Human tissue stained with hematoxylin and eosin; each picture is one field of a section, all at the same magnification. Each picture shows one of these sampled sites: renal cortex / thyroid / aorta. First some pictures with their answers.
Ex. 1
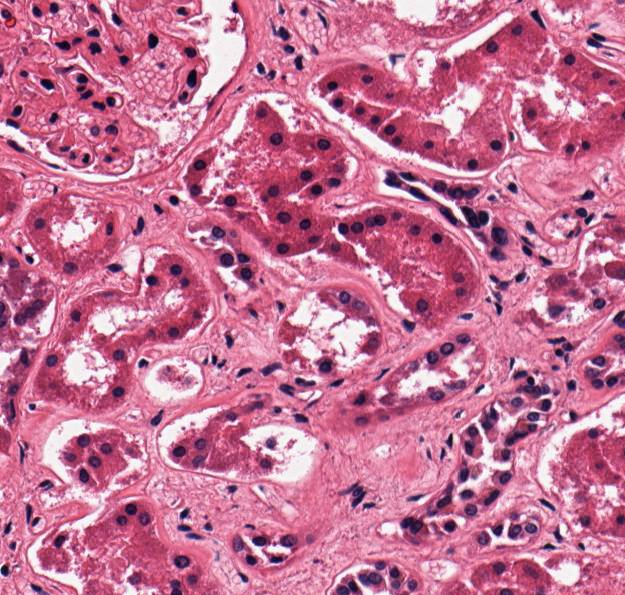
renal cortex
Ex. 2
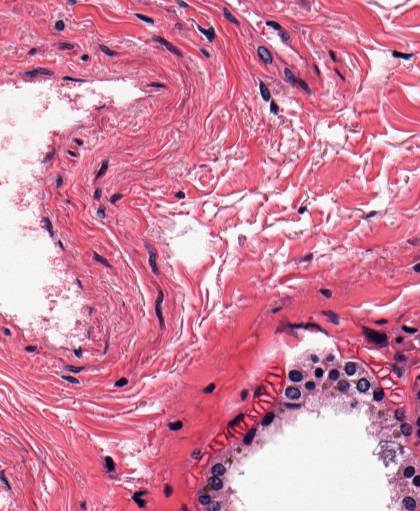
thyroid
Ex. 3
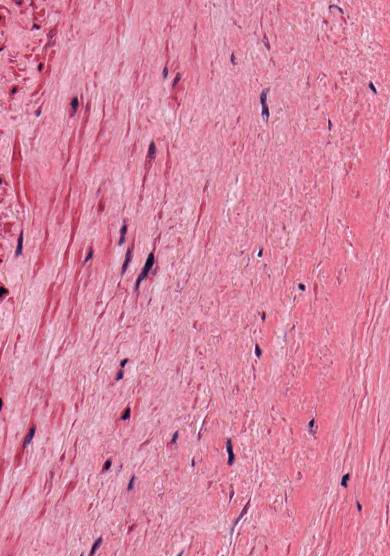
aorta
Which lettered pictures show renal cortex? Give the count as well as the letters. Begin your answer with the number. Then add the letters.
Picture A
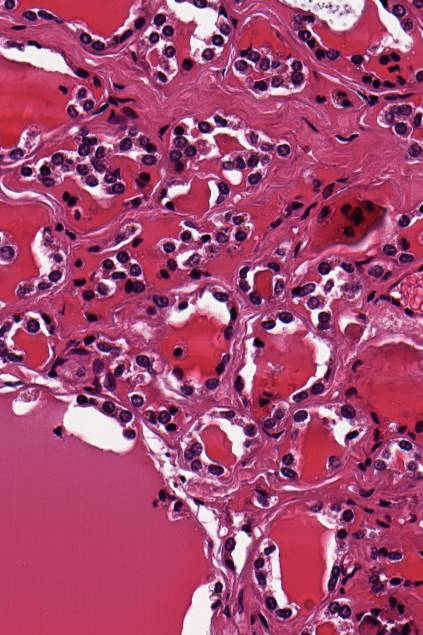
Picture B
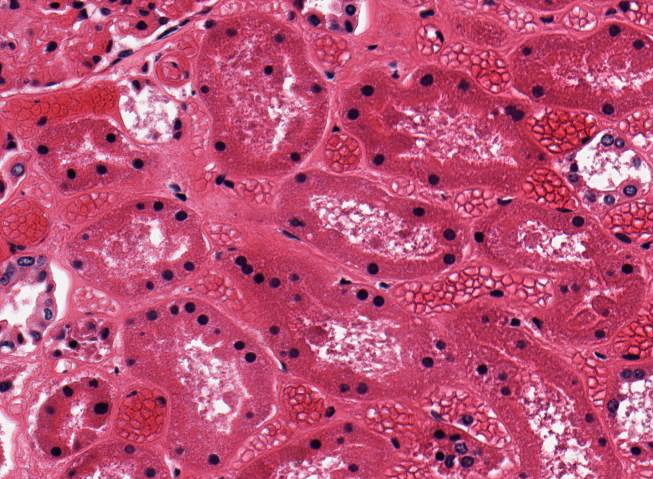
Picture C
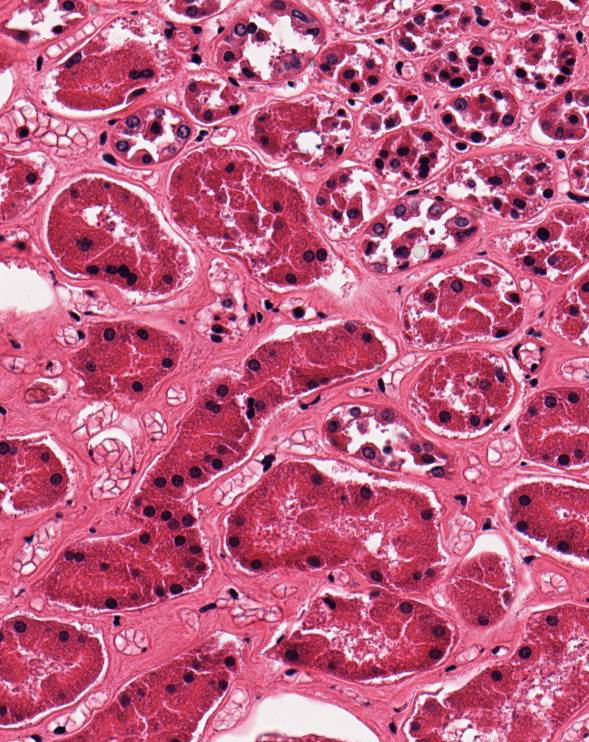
2, namely B, C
